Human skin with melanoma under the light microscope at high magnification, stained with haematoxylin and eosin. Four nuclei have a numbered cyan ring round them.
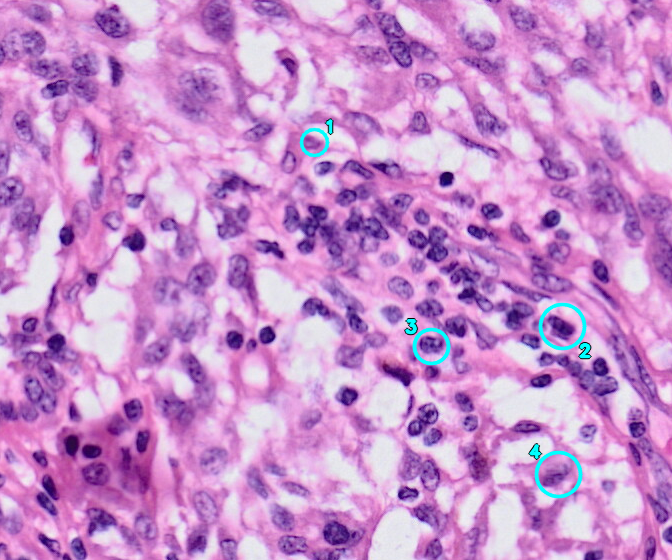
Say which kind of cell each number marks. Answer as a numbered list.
1. macrophage or monocyte
2. lymphocyte
3. lymphocyte
4. melanoma cell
